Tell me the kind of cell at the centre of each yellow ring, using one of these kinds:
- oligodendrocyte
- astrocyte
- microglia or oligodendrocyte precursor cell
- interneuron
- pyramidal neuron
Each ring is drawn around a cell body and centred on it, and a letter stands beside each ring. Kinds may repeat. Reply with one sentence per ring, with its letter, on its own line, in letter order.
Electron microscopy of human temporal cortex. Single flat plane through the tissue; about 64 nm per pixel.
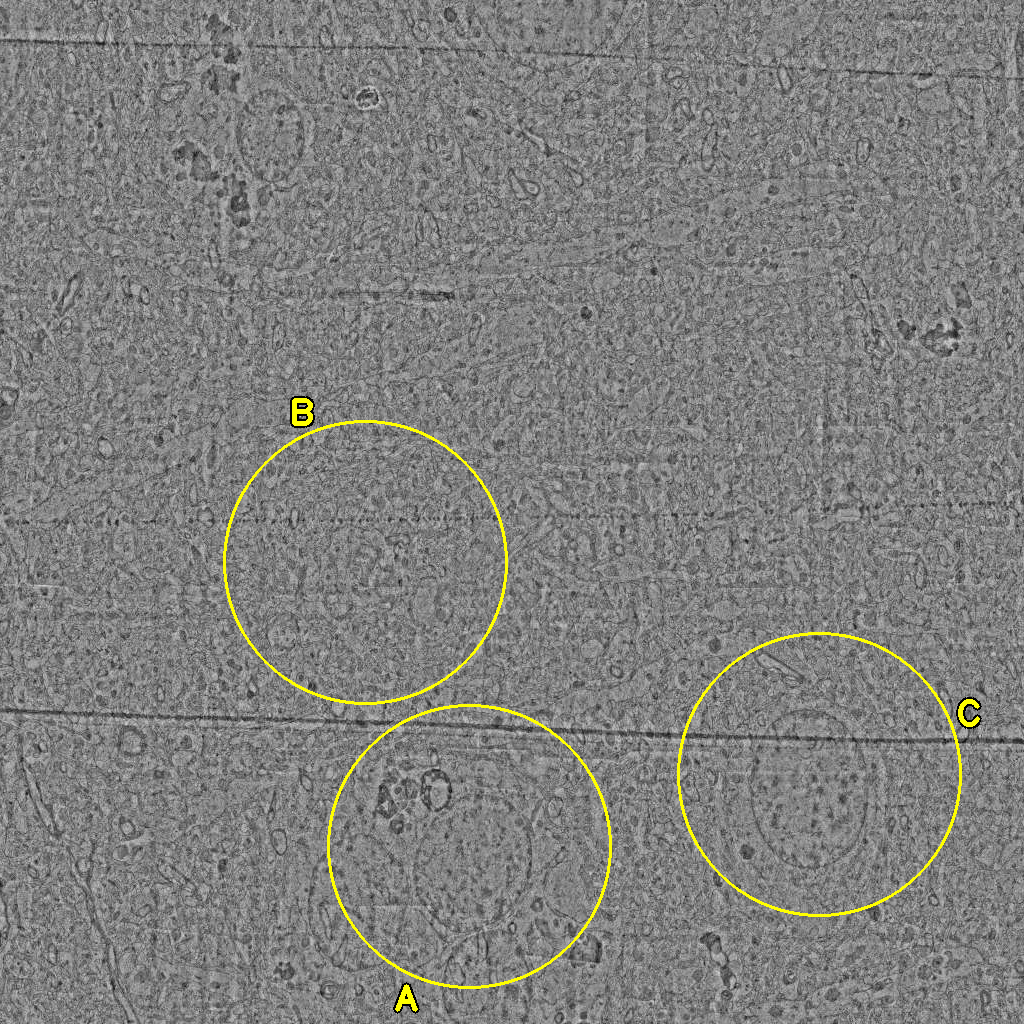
The ring labelled A is centred on an astrocyte.
The ring labelled B is centred on an interneuron.
The ring labelled C is centred on a pyramidal neuron.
